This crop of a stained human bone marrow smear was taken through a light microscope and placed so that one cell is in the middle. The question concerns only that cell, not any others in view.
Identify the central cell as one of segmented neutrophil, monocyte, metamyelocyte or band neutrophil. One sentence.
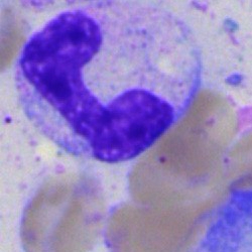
In the centre of this crop there is a band neutrophil.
